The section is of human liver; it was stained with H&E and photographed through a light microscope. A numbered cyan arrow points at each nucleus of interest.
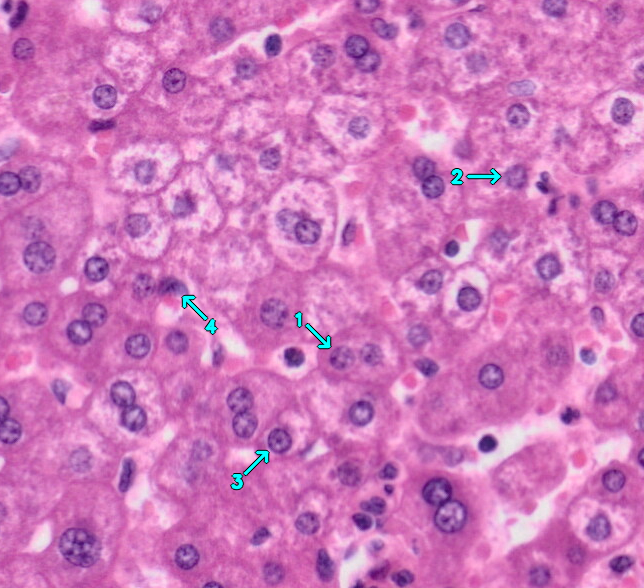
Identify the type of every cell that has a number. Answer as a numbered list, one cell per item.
1. hepatocyte
2. hepatocyte
3. hepatocyte
4. endothelial cell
